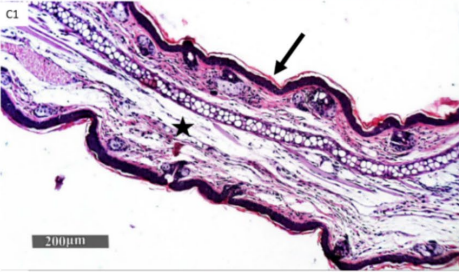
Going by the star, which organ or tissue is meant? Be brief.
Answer: Dermal layer.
